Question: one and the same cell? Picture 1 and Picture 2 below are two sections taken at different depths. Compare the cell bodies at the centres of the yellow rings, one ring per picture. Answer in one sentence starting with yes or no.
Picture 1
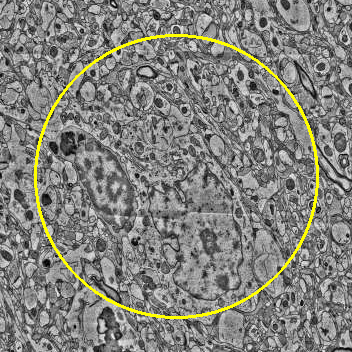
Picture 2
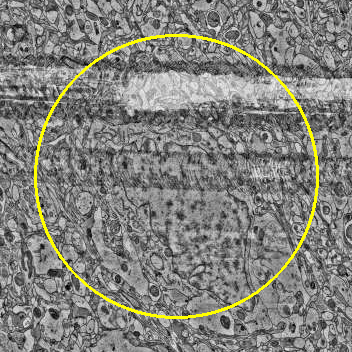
Yes, the two marked outlines come from one and the same cell.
